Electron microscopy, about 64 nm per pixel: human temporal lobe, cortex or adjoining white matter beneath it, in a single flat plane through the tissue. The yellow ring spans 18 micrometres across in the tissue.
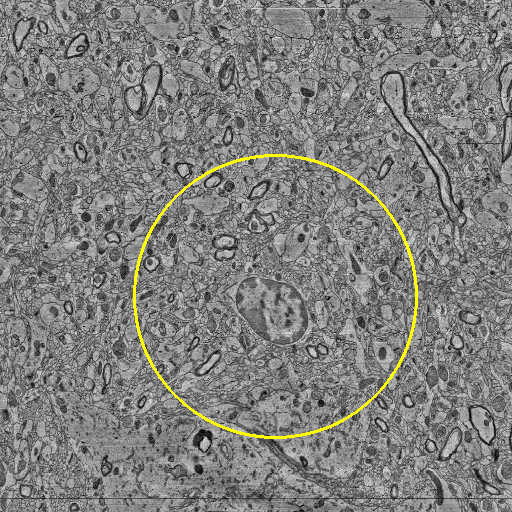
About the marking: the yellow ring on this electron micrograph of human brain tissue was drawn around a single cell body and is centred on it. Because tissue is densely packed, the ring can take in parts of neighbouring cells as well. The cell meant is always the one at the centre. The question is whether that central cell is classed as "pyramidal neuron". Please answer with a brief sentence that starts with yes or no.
No, the central cell belongs to another class.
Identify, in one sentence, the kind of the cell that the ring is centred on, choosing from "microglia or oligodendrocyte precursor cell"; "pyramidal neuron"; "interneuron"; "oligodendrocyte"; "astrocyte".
The ring's central cell is a microglial cell or oligodendrocyte precursor cell instead.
